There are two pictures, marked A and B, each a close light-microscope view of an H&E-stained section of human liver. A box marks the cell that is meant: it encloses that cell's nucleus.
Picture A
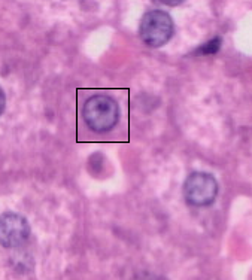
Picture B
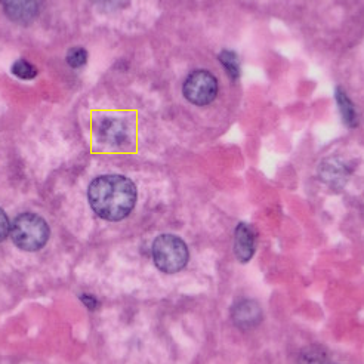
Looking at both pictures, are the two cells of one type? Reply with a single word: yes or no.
yes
